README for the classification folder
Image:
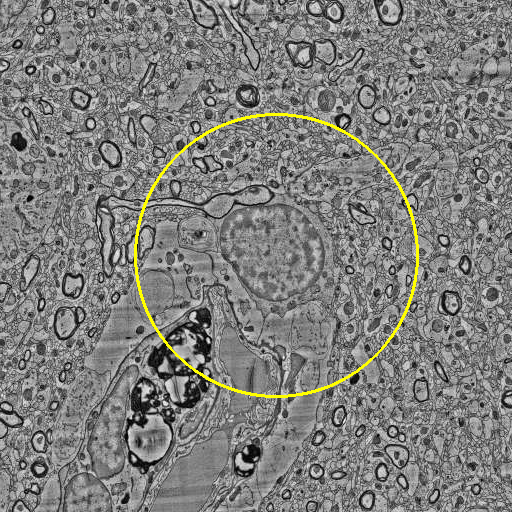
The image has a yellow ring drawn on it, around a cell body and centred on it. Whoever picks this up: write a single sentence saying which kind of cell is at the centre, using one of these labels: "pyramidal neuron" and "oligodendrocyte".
This cell body is that of an oligodendrocyte.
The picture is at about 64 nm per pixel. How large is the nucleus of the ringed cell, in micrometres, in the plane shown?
Roughly 6 micrometers across in this plane.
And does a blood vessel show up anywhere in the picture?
Yes, a blood vessel can be seen.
